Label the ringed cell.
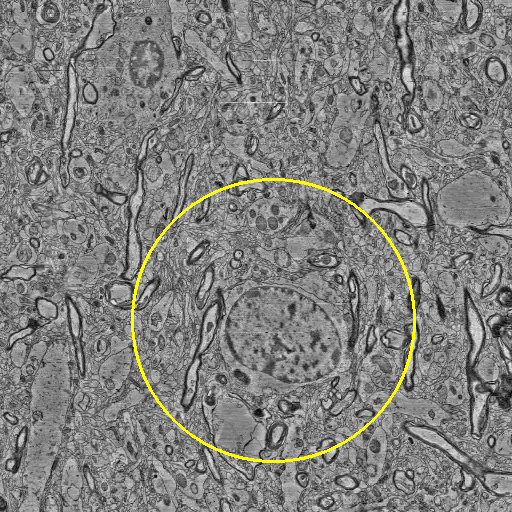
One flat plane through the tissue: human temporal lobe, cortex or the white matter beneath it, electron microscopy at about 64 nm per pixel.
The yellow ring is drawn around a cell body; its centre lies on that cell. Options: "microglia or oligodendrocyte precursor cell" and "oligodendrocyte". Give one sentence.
The ringed cell is a microglial cell or oligodendrocyte precursor cell.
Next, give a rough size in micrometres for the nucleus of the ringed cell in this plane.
The ringed cell's nucleus measures approximately 8 by 6 micrometres in this plane.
